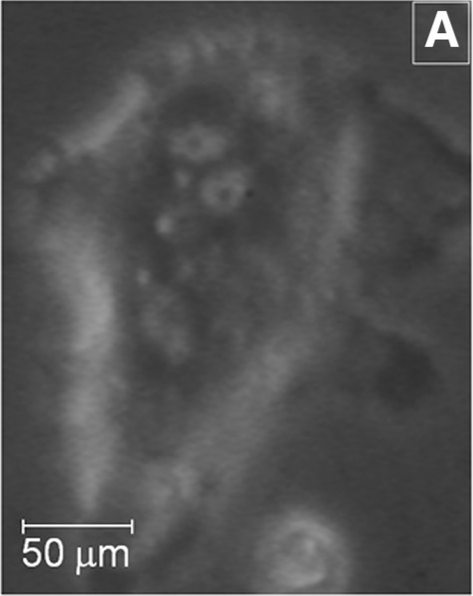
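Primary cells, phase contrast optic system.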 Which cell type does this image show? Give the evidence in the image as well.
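One large flattened cell fills most of the field. Several round nucleus-like profiles are grouped near its centre. So: osteoclasts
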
